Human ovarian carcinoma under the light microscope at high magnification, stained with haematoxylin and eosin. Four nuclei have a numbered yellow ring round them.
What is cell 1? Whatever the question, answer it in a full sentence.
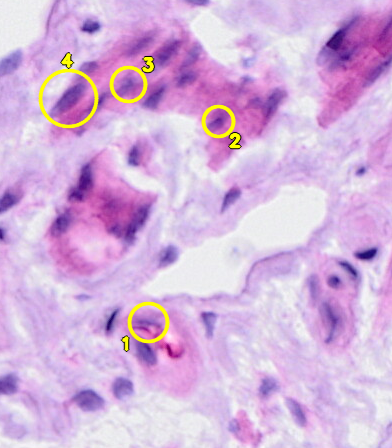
Regarding cell 1, this one is an endothelial cell.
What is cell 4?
Classified as a smooth muscle cell is the cell with the number 4.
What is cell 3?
The cell identified by the number 3 is a smooth muscle cell.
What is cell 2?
The cell tagged with 2 in this tissue section is a smooth muscle cell.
